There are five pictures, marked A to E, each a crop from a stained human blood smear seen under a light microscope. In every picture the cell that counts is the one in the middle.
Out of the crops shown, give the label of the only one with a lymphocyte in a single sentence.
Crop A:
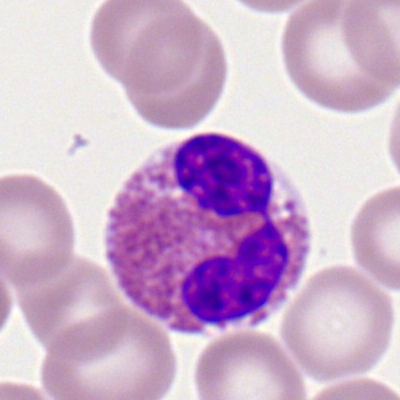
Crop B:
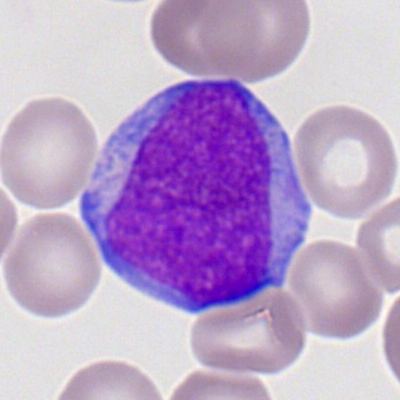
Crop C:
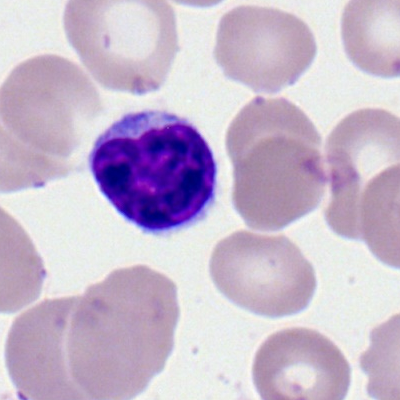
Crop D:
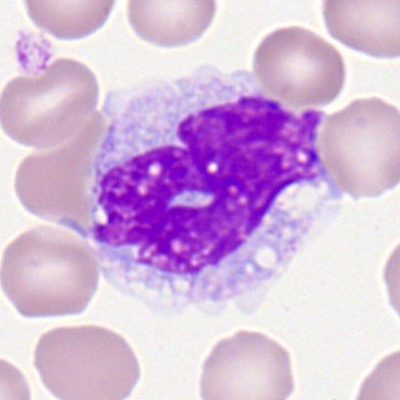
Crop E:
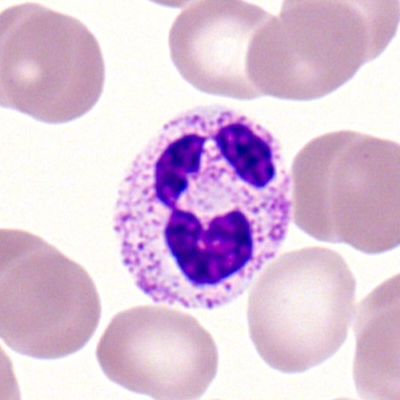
The crop that shows a lymphocyte is crop C.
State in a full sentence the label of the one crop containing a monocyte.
The one crop in the set with a monocyte is crop D.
